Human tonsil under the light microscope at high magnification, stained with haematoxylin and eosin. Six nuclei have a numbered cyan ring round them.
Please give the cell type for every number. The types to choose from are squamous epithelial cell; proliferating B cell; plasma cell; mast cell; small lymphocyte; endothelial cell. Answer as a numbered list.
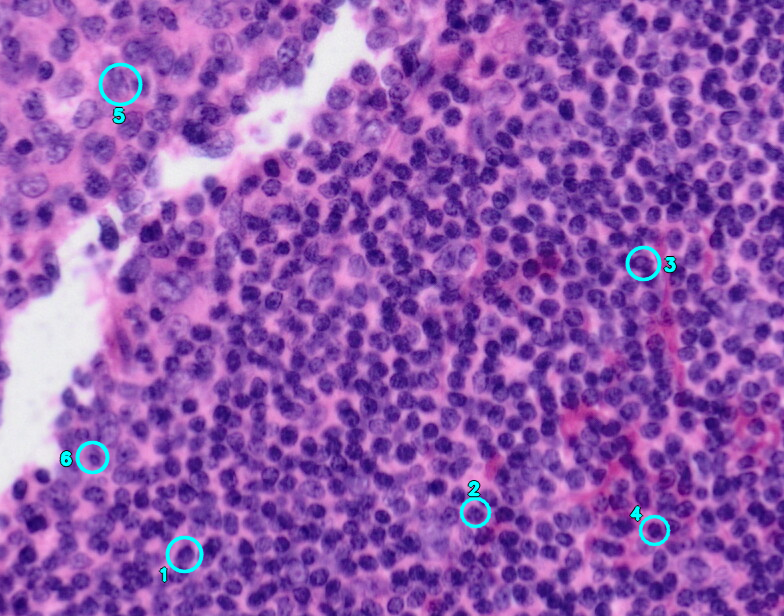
1. small lymphocyte
2. small lymphocyte
3. small lymphocyte
4. small lymphocyte
5. proliferating B cell
6. proliferating B cell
